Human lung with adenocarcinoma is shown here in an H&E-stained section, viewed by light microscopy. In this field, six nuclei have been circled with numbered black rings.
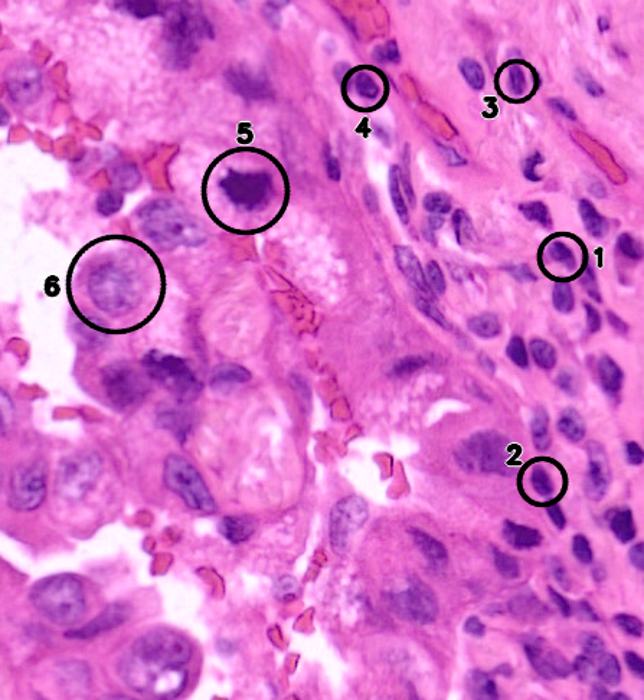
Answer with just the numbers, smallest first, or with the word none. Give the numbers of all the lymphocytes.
1, 2, 3, 4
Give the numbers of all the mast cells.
none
